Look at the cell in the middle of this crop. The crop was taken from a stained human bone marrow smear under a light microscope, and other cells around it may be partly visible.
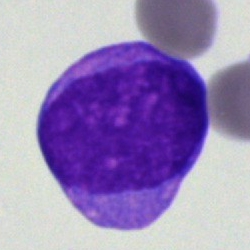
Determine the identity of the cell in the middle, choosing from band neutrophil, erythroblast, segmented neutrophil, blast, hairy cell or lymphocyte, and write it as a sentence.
Here the centrally located cell is a blast.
